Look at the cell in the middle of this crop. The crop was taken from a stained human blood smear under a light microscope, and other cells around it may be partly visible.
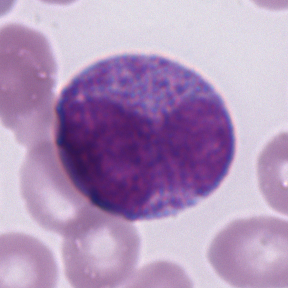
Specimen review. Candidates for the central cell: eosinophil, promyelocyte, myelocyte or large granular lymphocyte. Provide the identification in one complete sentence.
The cell in the middle of this crop is a promyelocyte.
